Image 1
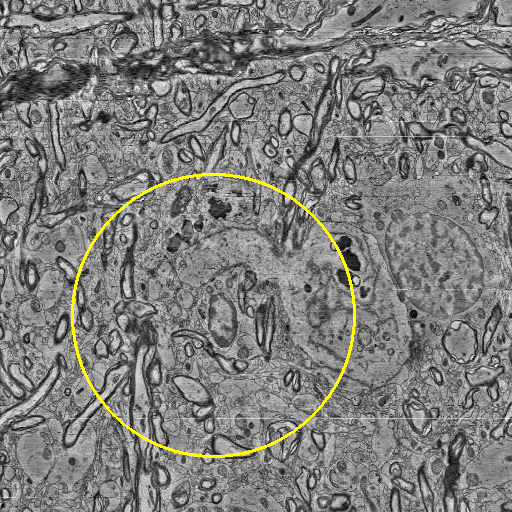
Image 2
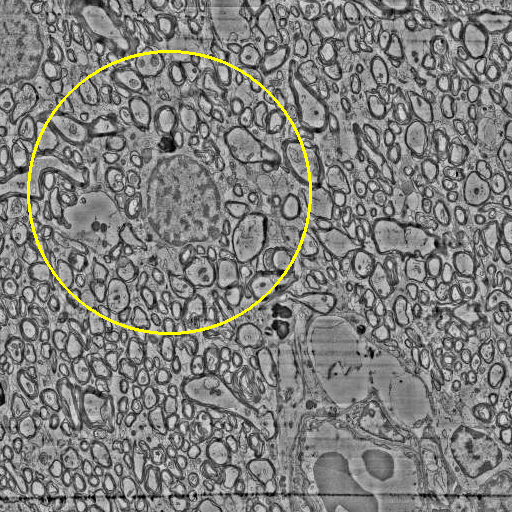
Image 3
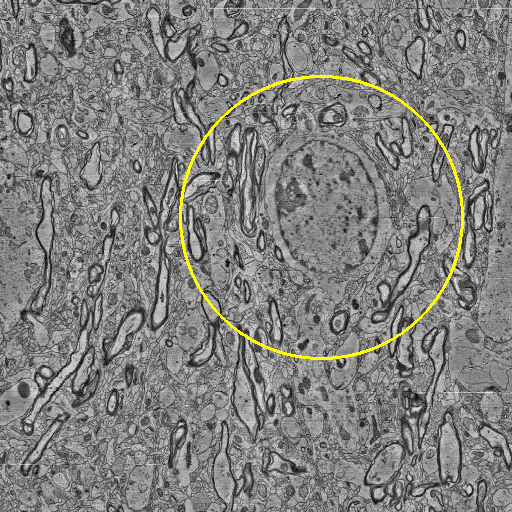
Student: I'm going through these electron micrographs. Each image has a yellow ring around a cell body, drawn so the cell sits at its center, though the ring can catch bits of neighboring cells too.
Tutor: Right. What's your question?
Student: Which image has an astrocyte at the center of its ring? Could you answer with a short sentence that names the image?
Image 3 shows it at the center of its ring.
